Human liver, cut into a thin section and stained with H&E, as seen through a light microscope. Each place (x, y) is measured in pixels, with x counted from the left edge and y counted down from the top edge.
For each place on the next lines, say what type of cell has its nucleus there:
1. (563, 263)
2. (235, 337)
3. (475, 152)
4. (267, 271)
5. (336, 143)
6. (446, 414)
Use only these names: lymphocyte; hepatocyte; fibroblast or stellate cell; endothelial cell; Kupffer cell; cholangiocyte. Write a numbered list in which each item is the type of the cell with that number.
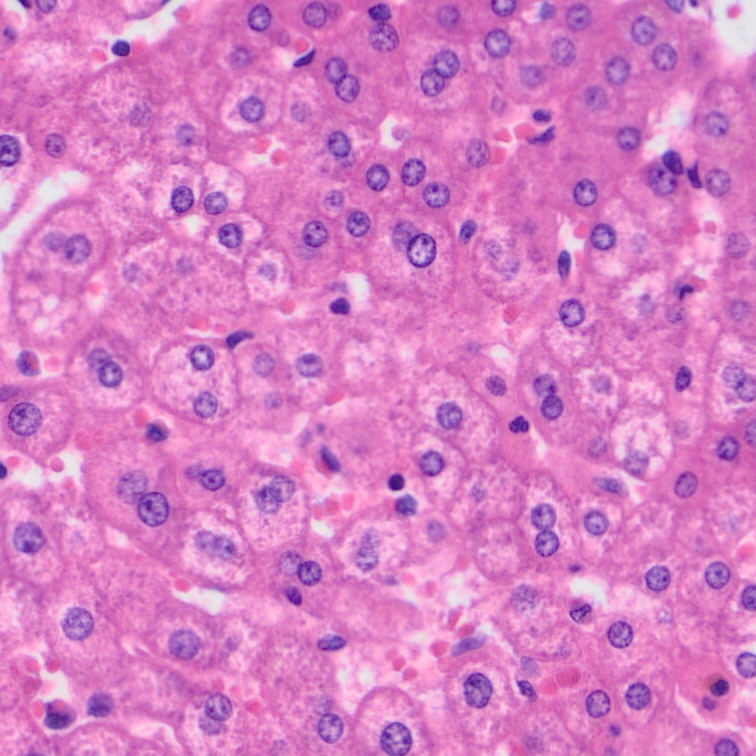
1. lymphocyte
2. fibroblast or stellate cell
3. hepatocyte
4. hepatocyte
5. hepatocyte
6. hepatocyte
